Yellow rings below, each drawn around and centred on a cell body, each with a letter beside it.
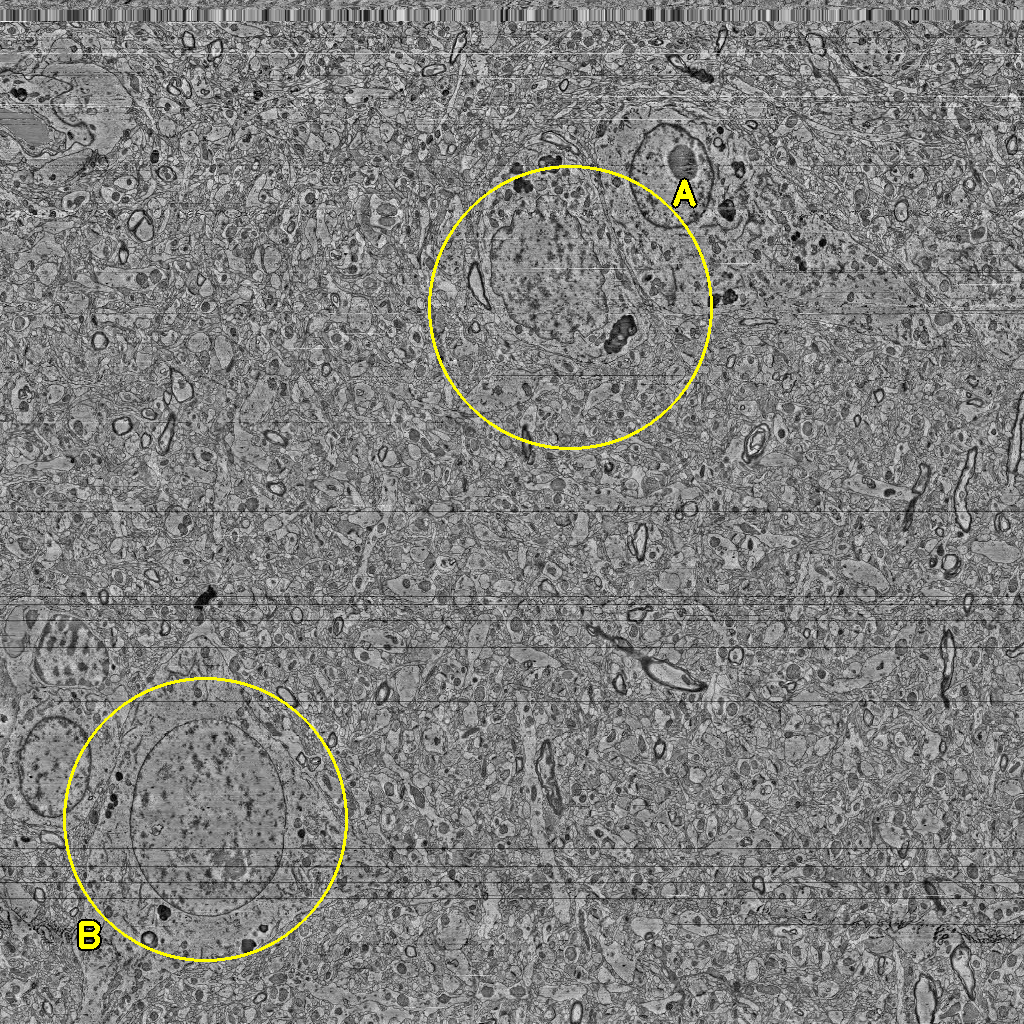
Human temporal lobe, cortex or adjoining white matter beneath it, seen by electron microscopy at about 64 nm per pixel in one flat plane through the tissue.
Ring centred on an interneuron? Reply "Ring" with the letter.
Ring A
